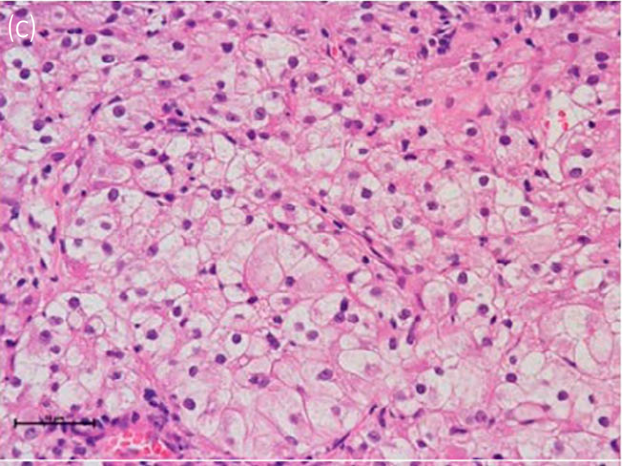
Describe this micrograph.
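These are tumor cells packed in compact nests, each cell with clear or pale, almost empty-looking cytoplasm outlined by a crisp pink cell border. The nuclei are small, round and dark, set within the pale cells. Between the nests run thin pink strands carrying flattened nuclei, a delicate network of small vessels, with a few red blood cells visible near the bottom.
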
